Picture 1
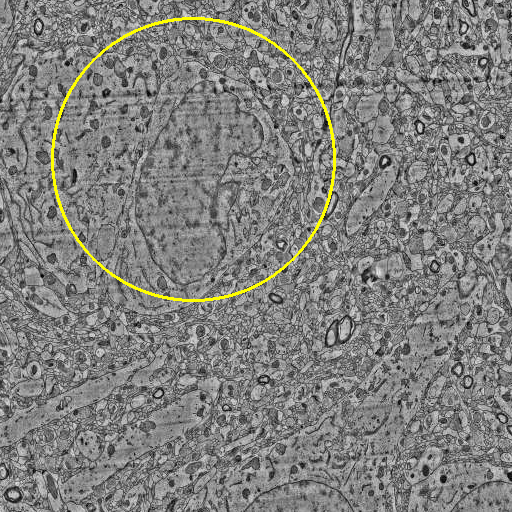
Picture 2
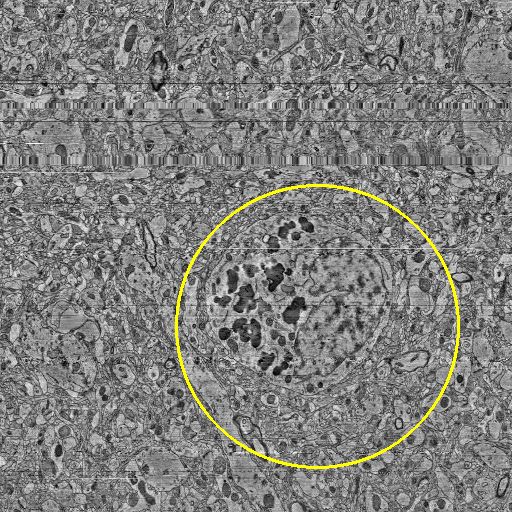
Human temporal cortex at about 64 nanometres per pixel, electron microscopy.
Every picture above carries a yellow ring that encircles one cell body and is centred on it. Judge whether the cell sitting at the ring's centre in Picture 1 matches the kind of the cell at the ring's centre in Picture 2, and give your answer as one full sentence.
Yes, the cells centred in the rings of Pictures 1 and 2 belong to one kind.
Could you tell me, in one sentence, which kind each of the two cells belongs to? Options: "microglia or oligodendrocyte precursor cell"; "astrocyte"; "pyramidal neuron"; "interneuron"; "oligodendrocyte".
In both pictures the ring is centred on an interneuron.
